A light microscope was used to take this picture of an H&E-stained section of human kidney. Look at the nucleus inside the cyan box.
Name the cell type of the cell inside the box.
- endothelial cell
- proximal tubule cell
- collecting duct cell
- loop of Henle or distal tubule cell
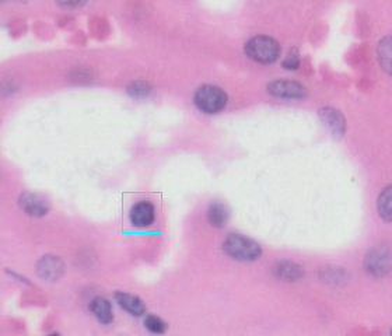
loop of Henle or distal tubule cell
